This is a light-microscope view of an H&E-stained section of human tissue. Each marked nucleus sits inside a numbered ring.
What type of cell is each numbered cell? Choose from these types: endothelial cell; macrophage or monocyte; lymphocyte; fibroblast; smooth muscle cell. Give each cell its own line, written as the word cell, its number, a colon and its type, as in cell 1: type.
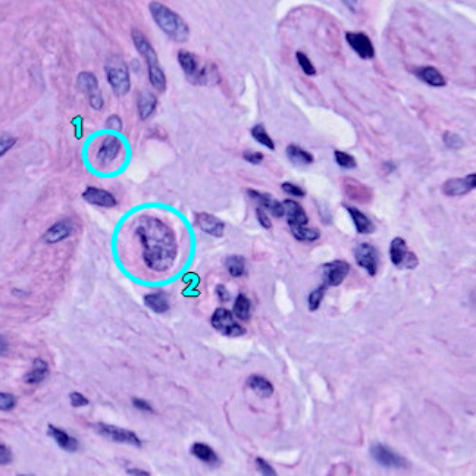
cell 1: smooth muscle cell
cell 2: macrophage or monocyte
